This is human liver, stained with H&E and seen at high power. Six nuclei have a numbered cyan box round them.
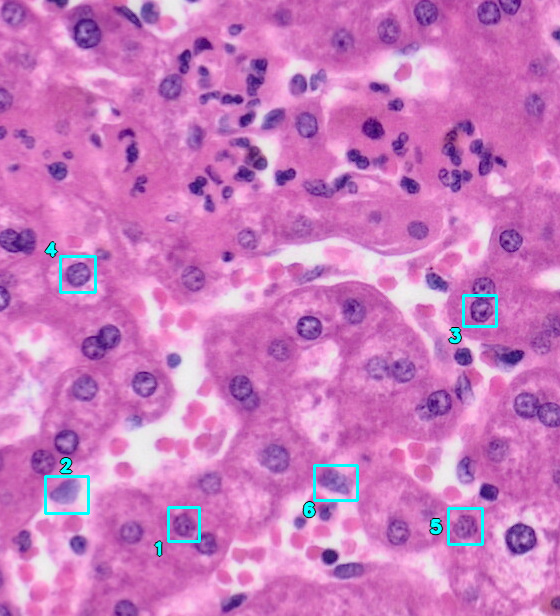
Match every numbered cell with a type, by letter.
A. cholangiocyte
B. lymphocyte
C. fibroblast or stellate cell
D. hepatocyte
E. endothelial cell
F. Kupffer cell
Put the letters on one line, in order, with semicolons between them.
D; E; D; D; D; E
